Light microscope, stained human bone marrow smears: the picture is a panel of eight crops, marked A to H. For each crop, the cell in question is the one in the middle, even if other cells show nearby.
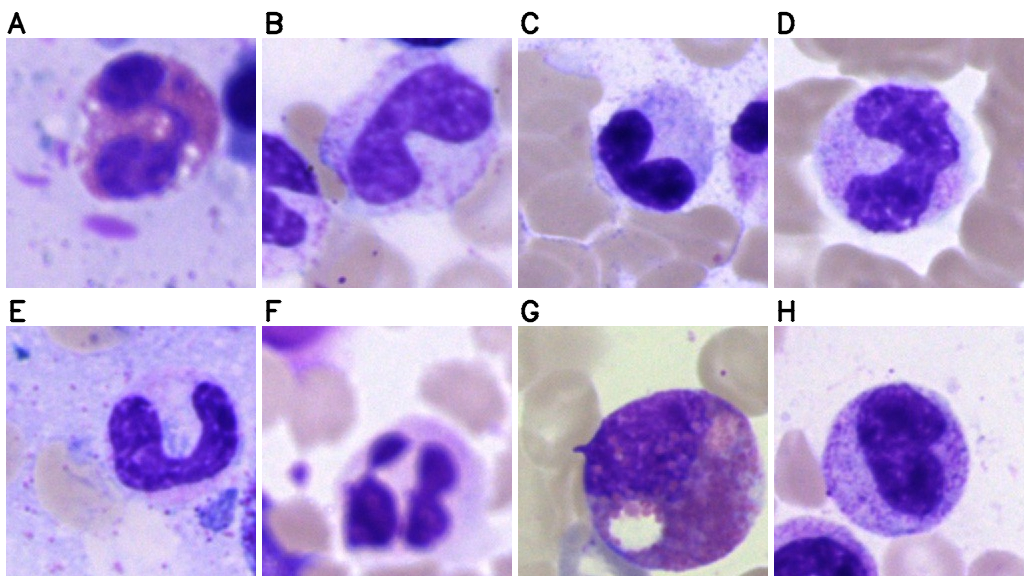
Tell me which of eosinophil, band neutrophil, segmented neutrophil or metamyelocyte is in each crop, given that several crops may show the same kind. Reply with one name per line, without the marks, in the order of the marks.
eosinophil
band neutrophil
band neutrophil
band neutrophil
band neutrophil
segmented neutrophil
eosinophil
metamyelocyte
